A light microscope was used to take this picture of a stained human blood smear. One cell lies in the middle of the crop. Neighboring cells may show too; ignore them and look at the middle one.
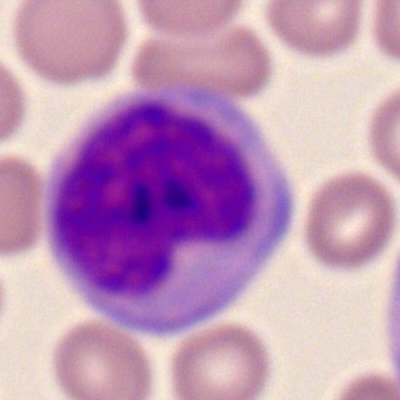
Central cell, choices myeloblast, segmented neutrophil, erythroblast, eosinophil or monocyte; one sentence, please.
The middle cell in this particular crop is a monocyte.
